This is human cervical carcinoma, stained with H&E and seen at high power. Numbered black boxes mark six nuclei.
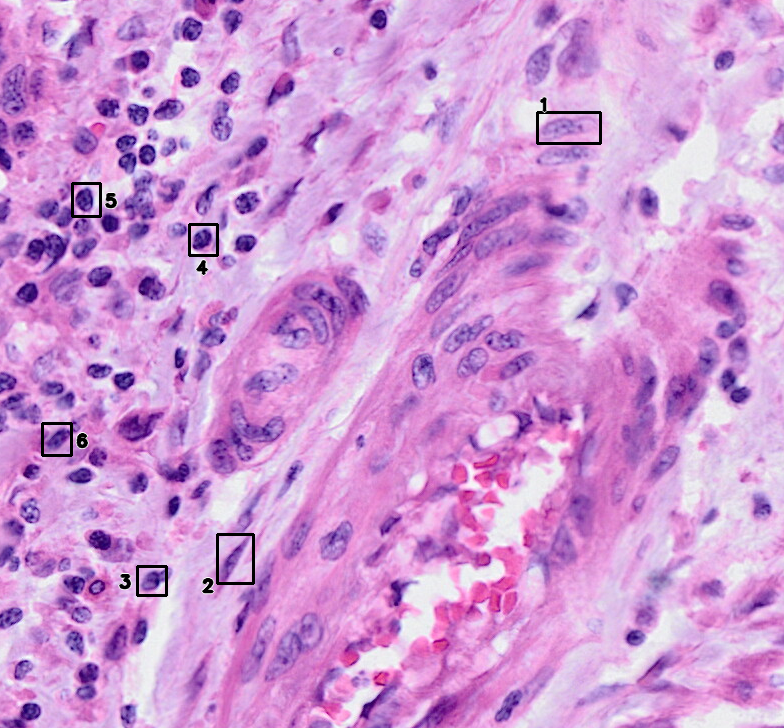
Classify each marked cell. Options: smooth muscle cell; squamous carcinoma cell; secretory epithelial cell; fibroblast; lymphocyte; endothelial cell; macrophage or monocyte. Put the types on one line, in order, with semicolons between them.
smooth muscle cell; fibroblast; lymphocyte; lymphocyte; lymphocyte; lymphocyte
